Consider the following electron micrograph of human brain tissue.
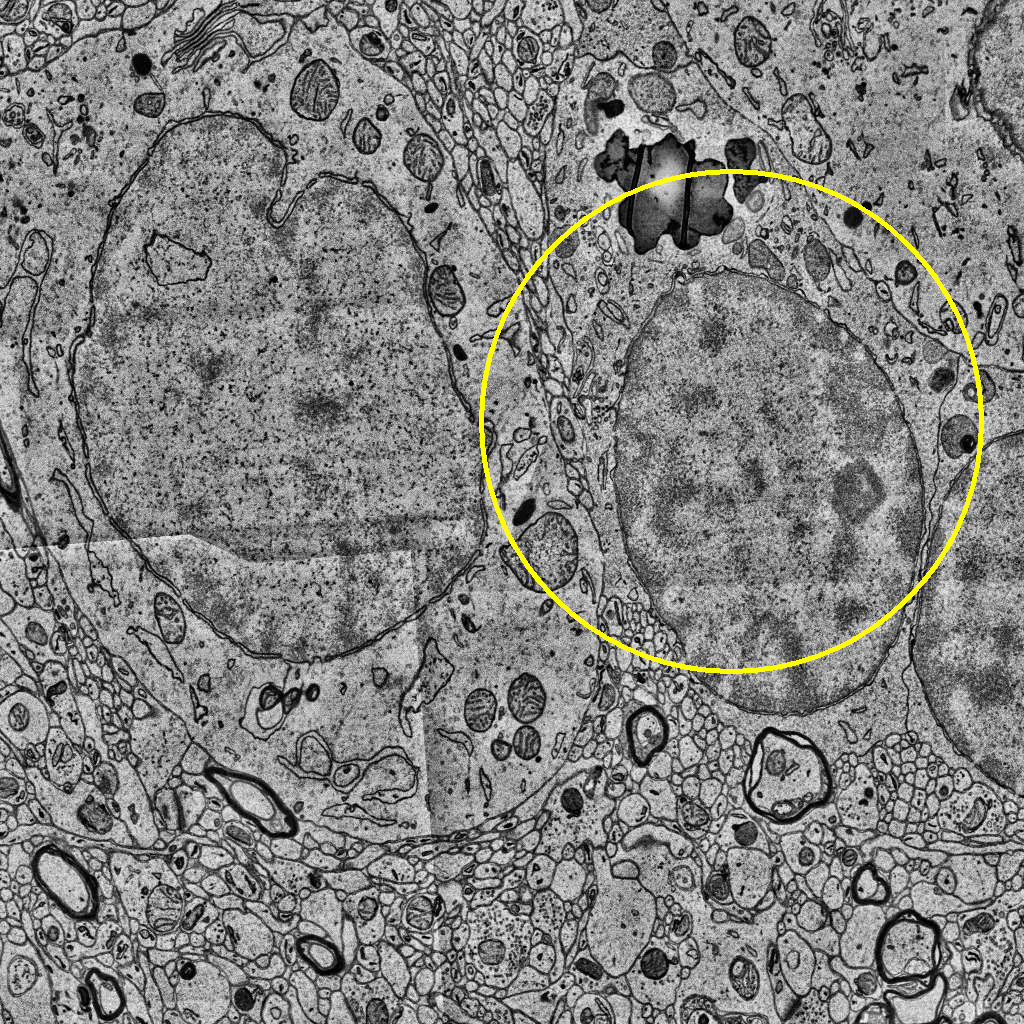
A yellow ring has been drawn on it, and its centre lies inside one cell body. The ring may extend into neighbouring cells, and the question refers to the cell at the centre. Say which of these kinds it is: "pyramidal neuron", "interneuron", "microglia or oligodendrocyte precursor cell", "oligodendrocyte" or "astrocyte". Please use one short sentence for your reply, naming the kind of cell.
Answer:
The centre of the ring falls on an oligodendrocyte.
